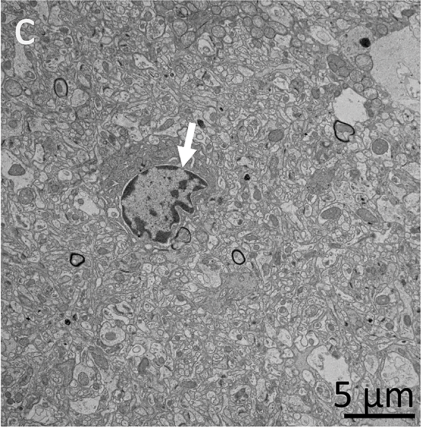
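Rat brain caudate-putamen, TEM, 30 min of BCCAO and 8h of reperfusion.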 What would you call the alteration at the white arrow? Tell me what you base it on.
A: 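Shrunken with condensed chromatin. The arrowed nucleus is small and irregular in outline. Dark clumps of dense chromatin lie along its edge.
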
